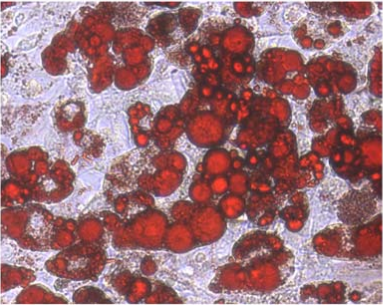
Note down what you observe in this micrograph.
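The droplets vary from fine specks to large globules that fill most of a cell. The droplet-laden cells lie crowded in clusters, with pale unstained flattened cells between them.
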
